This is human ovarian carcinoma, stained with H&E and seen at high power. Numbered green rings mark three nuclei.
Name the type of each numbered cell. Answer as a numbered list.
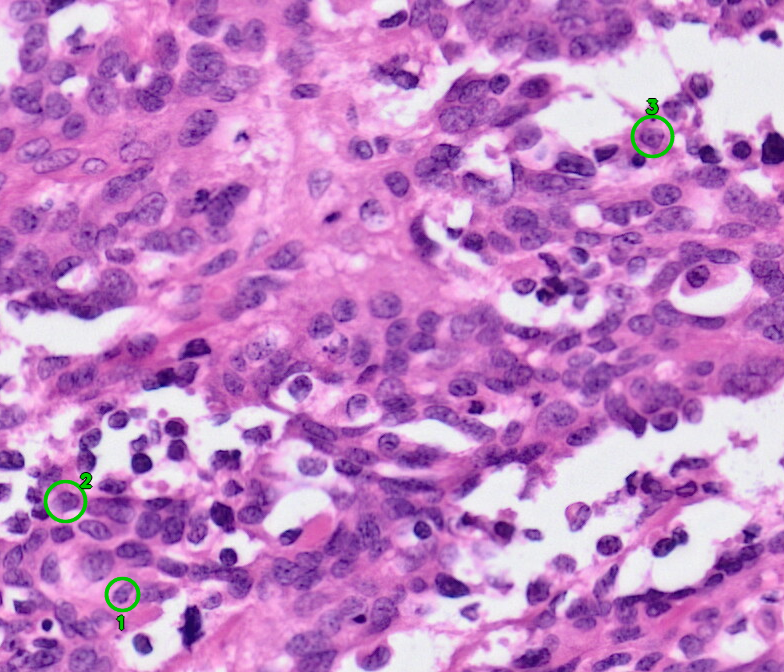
1. macrophage or monocyte
2. carcinoma cell
3. macrophage or monocyte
